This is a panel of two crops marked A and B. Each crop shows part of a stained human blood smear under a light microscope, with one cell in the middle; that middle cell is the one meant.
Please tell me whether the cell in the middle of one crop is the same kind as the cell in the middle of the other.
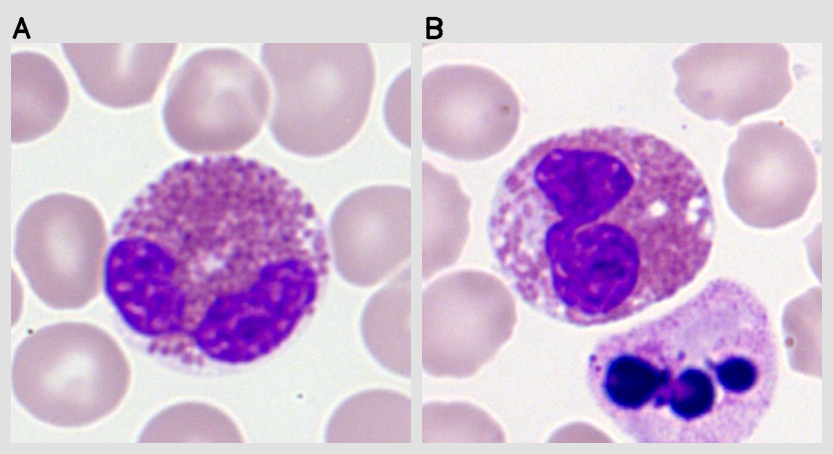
yes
